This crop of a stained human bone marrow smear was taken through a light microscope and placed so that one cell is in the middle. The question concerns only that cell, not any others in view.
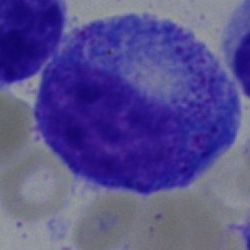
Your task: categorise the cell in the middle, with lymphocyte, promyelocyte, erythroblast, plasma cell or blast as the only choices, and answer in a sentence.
Whatever else lies nearby, the middle cell is a promyelocyte.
